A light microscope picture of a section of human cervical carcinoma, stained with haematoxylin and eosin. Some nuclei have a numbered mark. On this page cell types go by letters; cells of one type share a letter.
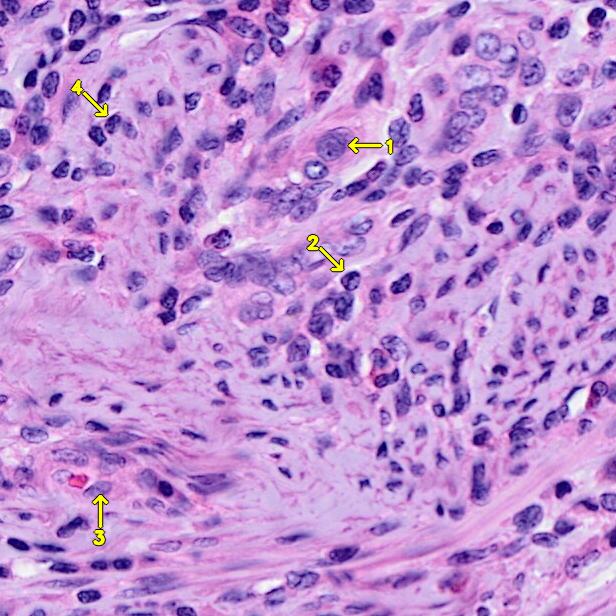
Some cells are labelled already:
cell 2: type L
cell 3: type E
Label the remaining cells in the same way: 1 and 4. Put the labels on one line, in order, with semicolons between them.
type E; type L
